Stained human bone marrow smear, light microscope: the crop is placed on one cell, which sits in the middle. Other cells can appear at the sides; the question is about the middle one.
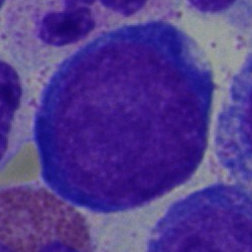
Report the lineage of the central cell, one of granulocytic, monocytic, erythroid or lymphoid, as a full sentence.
The central cell derives from the erythroid lineage.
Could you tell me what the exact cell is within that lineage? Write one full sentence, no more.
Classified as a proerythroblast is the cell in the middle of this crop.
